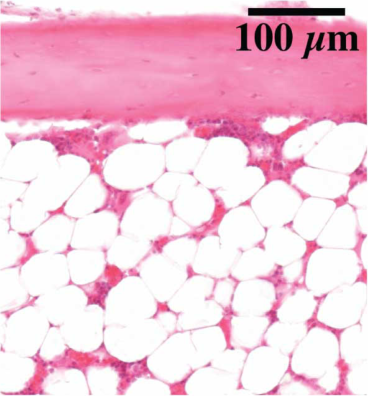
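Under a thick band of pink compact bone, the marrow cavity is filled with large, closely packed, round to polygonal empty white spaces separated by thin pink septa. Only small clusters of purple-nucleated cells lie just under the bone and between the empty spaces. These empty spaces are adipocytes crowding the medullary cavity.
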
